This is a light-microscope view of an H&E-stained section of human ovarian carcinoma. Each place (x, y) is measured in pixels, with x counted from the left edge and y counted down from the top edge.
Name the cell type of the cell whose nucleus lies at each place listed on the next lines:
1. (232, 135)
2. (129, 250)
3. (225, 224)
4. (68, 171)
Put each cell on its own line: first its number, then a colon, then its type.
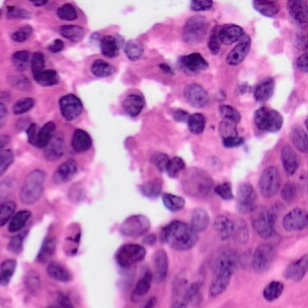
1: macrophage or monocyte
2: carcinoma cell
3: carcinoma cell
4: carcinoma cell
